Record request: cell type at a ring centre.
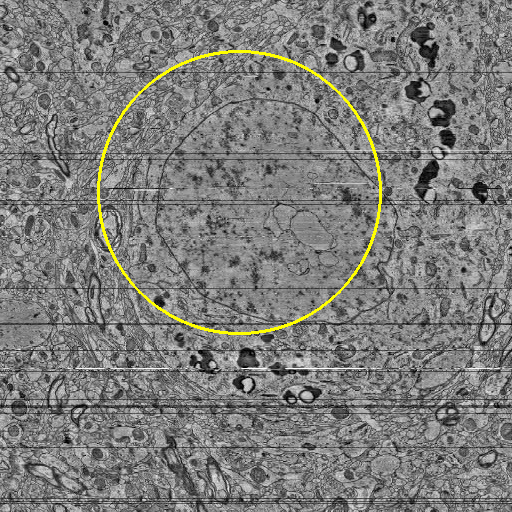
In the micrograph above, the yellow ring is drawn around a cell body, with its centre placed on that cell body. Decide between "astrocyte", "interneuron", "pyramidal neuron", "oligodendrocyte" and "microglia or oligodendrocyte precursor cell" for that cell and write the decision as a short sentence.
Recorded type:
The cell centred in the yellow ring is a pyramidal neuron.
